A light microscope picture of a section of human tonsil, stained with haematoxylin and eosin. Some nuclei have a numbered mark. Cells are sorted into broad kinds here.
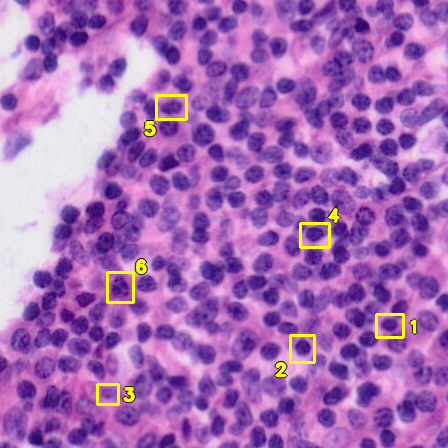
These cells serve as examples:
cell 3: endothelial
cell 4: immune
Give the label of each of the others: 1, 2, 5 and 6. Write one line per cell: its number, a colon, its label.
1: immune
2: immune
5: immune
6: immune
